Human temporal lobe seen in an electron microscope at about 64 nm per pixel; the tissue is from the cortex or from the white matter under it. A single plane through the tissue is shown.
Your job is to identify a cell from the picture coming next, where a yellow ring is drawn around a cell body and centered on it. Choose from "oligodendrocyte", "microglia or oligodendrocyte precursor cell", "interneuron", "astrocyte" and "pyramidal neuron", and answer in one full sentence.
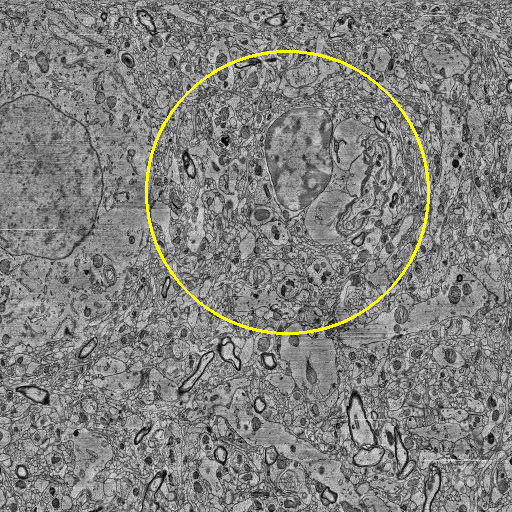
Centered in the yellow ring of the picture is the body of a microglial cell or oligodendrocyte precursor cell.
